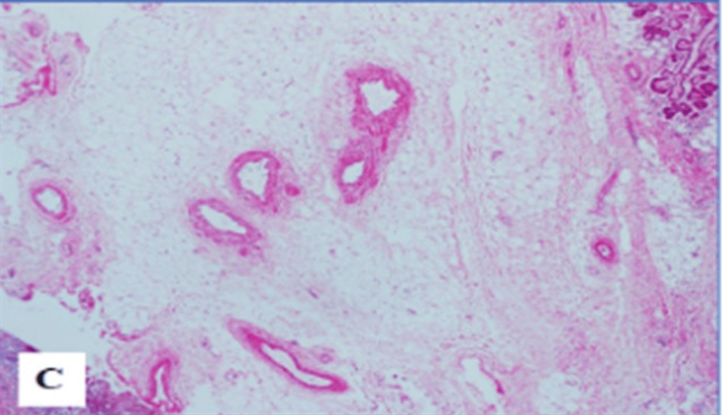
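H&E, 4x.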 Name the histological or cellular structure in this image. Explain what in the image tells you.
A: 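Thick-walled blood vessels. Several round and elongated vessels with thick pink walls.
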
